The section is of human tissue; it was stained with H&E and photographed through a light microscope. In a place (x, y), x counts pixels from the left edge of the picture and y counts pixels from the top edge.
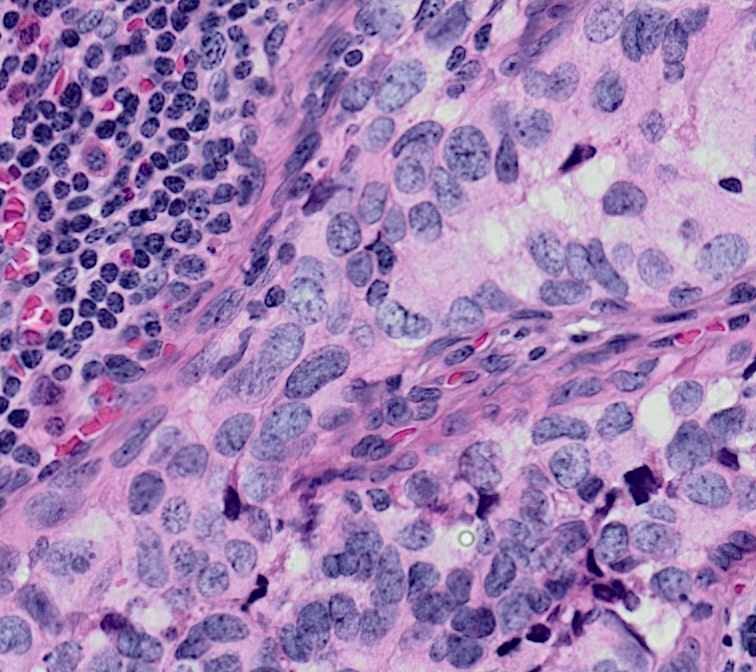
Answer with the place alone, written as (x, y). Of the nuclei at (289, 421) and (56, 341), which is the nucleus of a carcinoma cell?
(289, 421)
